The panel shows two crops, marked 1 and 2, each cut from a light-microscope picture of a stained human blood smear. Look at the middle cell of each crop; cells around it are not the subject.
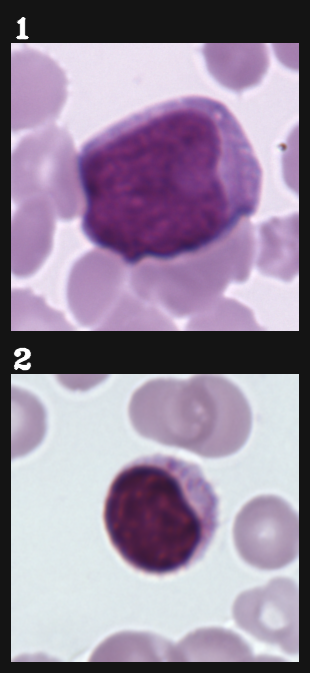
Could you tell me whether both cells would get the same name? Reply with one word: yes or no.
no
